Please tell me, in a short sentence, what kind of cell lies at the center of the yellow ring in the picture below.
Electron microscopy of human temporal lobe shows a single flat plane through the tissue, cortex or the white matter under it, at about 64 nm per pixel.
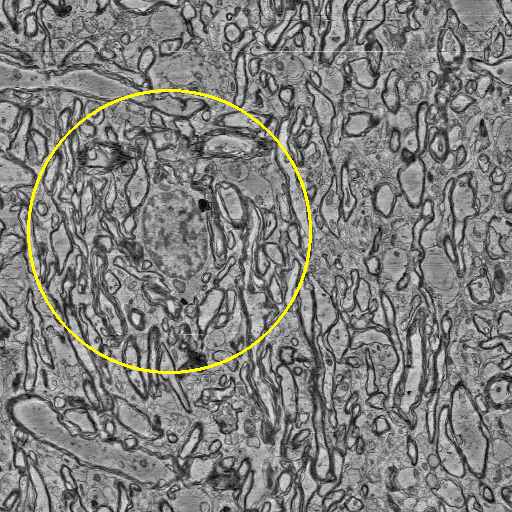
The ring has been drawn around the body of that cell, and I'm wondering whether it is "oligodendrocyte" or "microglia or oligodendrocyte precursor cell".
The cell at the center of the ring is an oligodendrocyte.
